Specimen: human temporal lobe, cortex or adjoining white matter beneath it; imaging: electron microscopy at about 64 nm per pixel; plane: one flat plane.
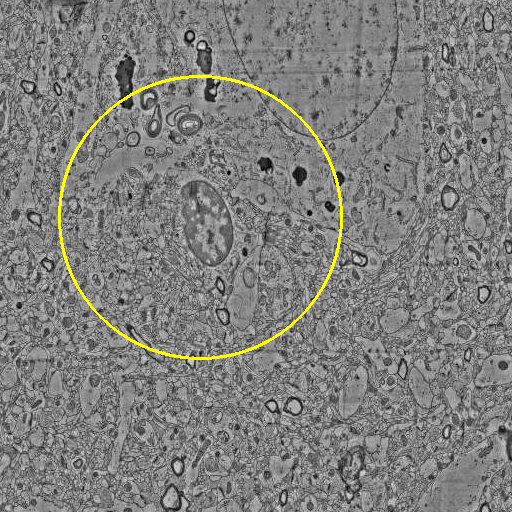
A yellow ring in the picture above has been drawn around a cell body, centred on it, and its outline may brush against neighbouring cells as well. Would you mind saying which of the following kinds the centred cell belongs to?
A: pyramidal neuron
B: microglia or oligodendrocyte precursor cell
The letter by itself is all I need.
B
